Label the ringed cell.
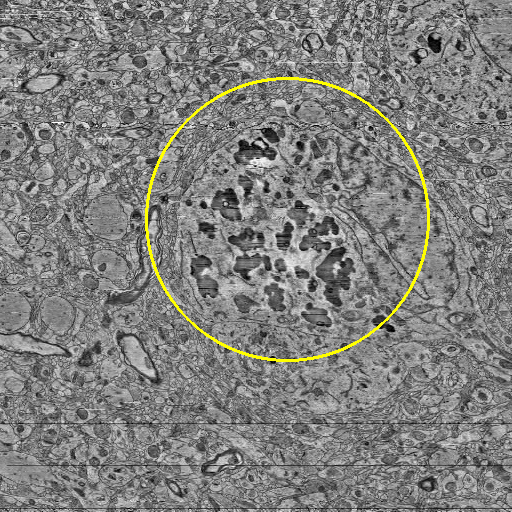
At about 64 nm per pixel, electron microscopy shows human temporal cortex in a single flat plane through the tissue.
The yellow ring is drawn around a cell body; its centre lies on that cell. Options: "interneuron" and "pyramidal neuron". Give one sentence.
The ringed cell is an interneuron.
